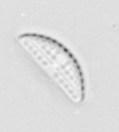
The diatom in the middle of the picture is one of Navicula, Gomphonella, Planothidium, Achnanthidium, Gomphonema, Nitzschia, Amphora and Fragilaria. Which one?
Amphora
